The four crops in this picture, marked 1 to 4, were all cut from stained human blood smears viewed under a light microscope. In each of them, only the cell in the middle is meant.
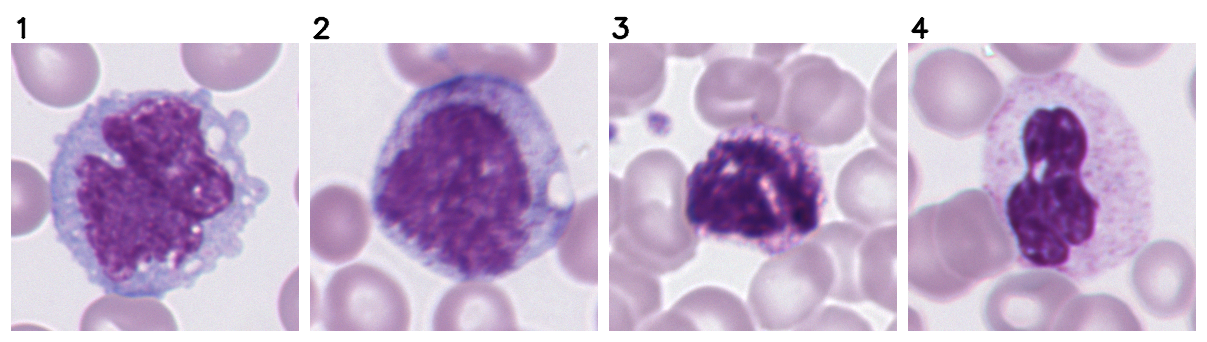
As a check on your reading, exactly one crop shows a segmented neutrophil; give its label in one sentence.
Crop 4 is the single crop that shows a segmented neutrophil.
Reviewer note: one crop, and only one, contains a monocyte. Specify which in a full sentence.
Of the labelled crops, the one that shows a monocyte is crop 1.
